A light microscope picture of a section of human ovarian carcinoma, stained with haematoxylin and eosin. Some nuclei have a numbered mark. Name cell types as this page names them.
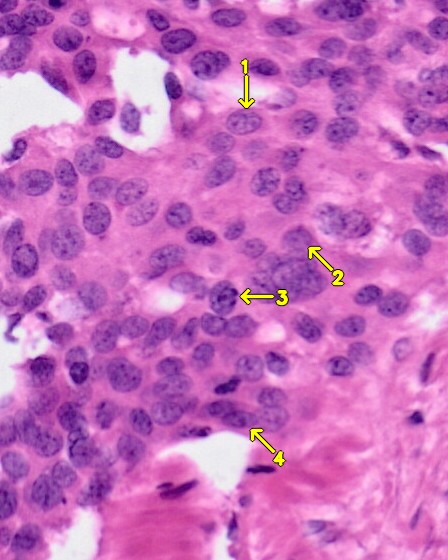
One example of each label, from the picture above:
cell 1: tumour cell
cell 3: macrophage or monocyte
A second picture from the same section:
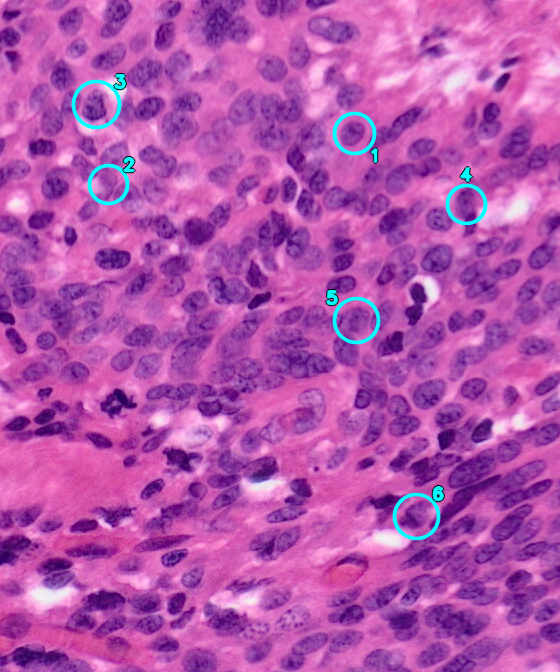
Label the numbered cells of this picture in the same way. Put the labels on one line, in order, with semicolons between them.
tumour cell; tumour cell; macrophage or monocyte; macrophage or monocyte; tumour cell; tumour cell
